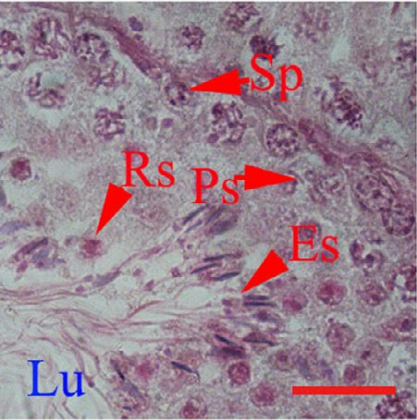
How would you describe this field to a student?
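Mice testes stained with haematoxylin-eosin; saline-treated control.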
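Seminiferous tubule epithelium of the testis with spermatogonia near the basal edge, pachytene spermatocytes, round spermatids and elongated spermatids. The pachytene spermatocytes are large cells whose nuclei show coarse, dark purple thread-like chromatin. Round spermatids have small round nuclei with a pink-purple tint, and elongated spermatids have slender, dark purple, rod-shaped heads grouped toward the lumen. The lumen holds pale wavy tail filaments.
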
